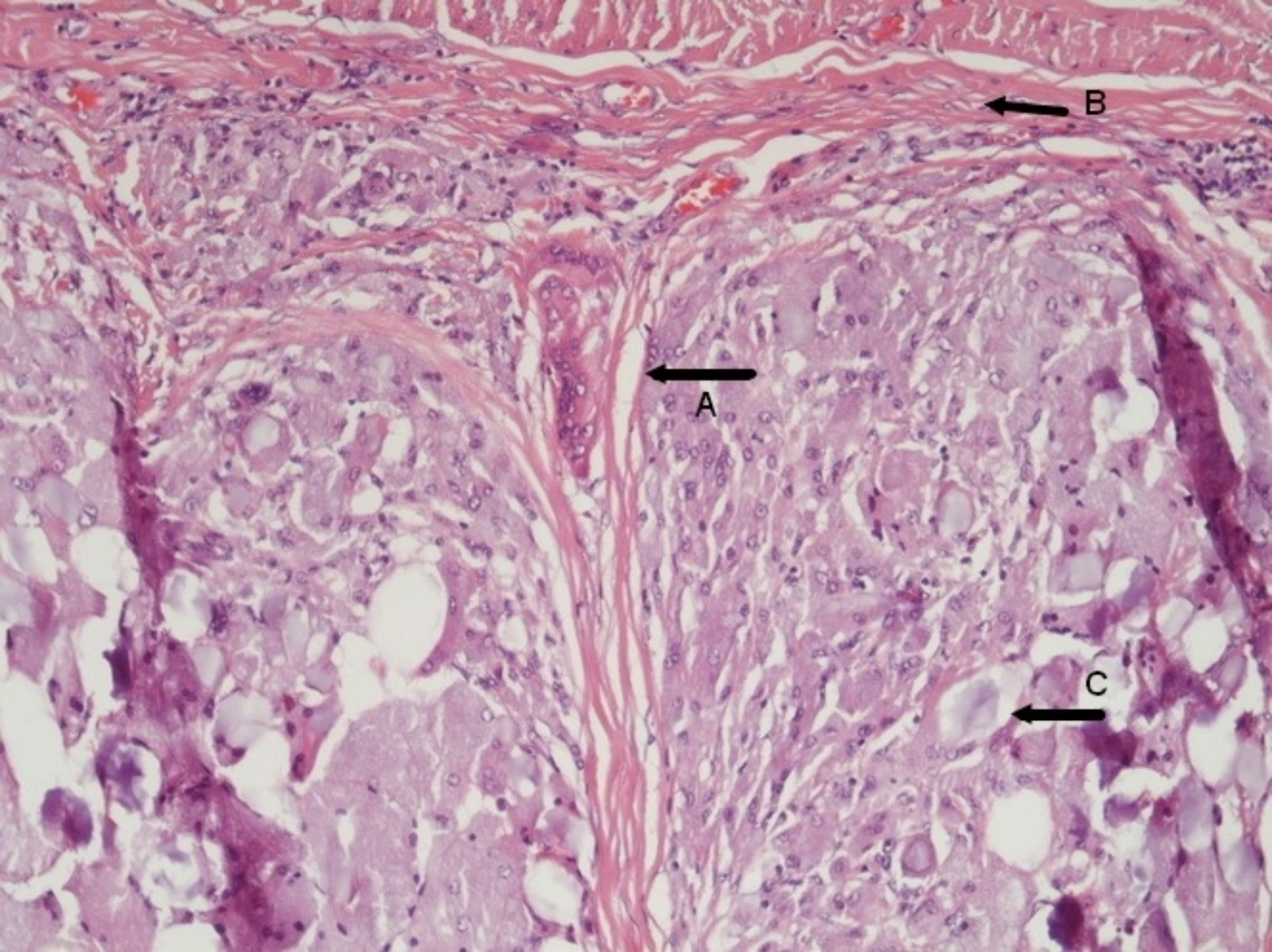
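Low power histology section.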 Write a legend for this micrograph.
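This is a foreign body reaction in tissue. The section shows sheets of plump cells with abundant pale pink, finely granular cytoplasm and round to oval nuclei. Scattered among them are many rounded clear or pale grey spaces, and some contain faintly bluish-grey amorphous material. Dark purple, elongated deposits lie at the left and right of the field. A thin band of pink fibrous strands runs vertically down the middle and divides the cellular tissue into two lobules. Across the top is a layer of denser pink collagen. This layer carries small vessels filled with red blood cells and scattered small dark round cells.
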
